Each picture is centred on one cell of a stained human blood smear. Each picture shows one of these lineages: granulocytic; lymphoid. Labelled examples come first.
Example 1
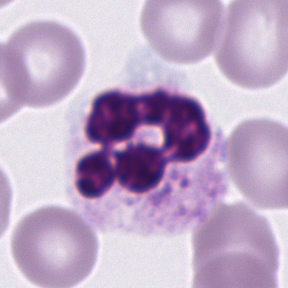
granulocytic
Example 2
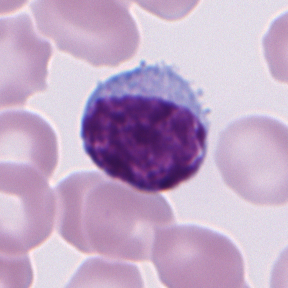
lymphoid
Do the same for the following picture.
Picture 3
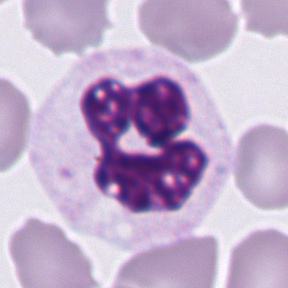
granulocytic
